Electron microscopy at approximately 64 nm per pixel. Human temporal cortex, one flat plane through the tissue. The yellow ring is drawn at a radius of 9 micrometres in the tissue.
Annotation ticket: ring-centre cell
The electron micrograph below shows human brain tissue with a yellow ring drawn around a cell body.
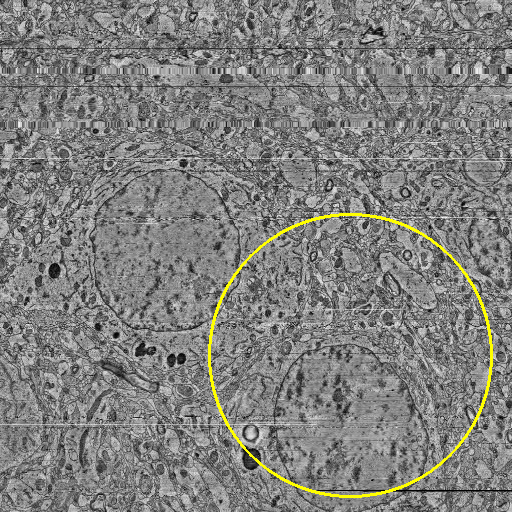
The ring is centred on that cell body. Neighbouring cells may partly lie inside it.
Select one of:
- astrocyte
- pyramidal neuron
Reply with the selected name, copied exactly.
pyramidal neuron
